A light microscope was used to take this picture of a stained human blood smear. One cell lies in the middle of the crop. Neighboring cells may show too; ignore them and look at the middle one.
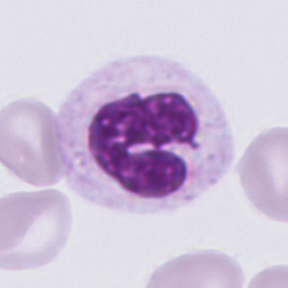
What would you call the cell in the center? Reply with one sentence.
The centered cell in this crop is a band neutrophil.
